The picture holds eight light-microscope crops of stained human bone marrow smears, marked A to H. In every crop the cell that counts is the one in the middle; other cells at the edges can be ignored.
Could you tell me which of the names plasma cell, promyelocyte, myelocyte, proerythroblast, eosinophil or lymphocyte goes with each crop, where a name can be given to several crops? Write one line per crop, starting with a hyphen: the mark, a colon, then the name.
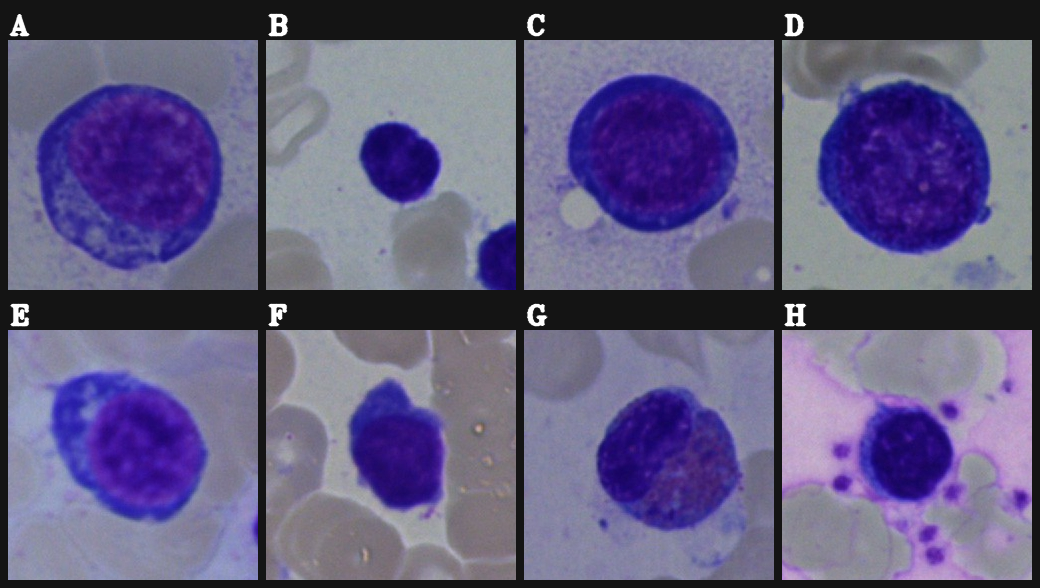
- A: proerythroblast
- B: lymphocyte
- C: proerythroblast
- D: promyelocyte
- E: proerythroblast
- F: plasma cell
- G: eosinophil
- H: lymphocyte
